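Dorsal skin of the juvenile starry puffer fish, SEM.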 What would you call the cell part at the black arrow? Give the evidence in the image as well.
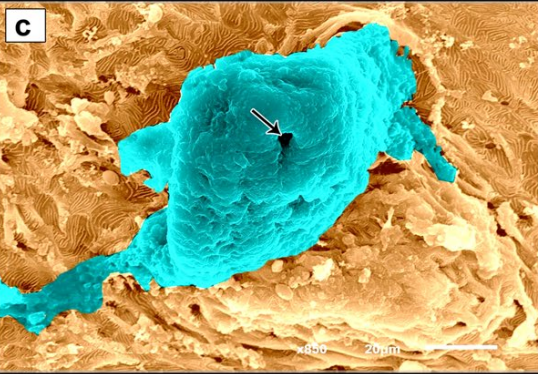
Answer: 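Pores. A small dark hole opens on the top of the domed cyan body.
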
